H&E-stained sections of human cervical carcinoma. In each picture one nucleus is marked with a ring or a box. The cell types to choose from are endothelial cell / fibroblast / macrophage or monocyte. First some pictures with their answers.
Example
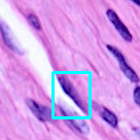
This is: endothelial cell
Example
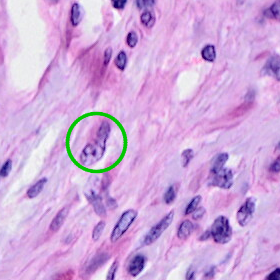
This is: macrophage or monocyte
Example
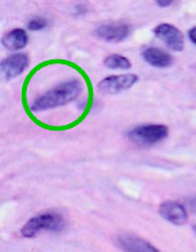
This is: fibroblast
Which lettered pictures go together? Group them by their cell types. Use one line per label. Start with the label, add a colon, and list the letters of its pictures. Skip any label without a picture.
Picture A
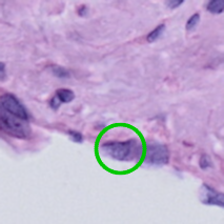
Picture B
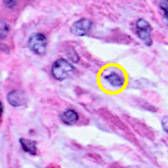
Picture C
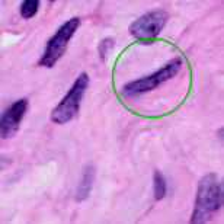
endothelial cell: A
fibroblast: B, C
